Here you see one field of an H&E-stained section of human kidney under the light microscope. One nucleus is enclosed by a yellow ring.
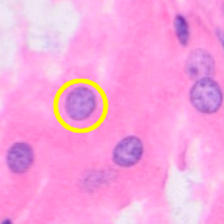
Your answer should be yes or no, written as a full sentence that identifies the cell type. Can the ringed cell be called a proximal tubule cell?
Yes, a proximal tubule cell is the correct identification for the ringed cell.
